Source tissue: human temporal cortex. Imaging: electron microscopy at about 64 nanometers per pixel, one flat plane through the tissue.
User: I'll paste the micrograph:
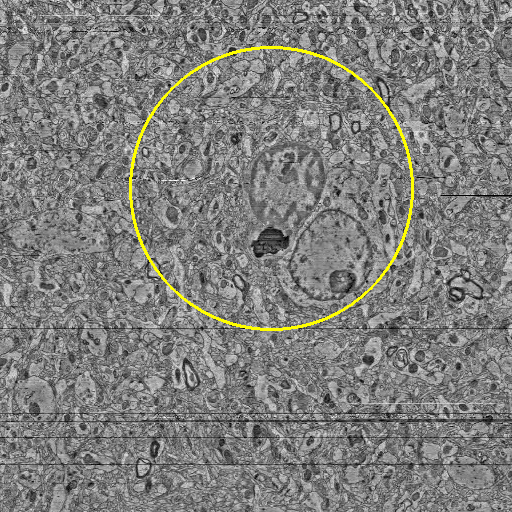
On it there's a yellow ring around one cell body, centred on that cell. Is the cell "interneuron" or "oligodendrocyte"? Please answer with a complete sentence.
The cell ringed in yellow is an oligodendrocyte.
